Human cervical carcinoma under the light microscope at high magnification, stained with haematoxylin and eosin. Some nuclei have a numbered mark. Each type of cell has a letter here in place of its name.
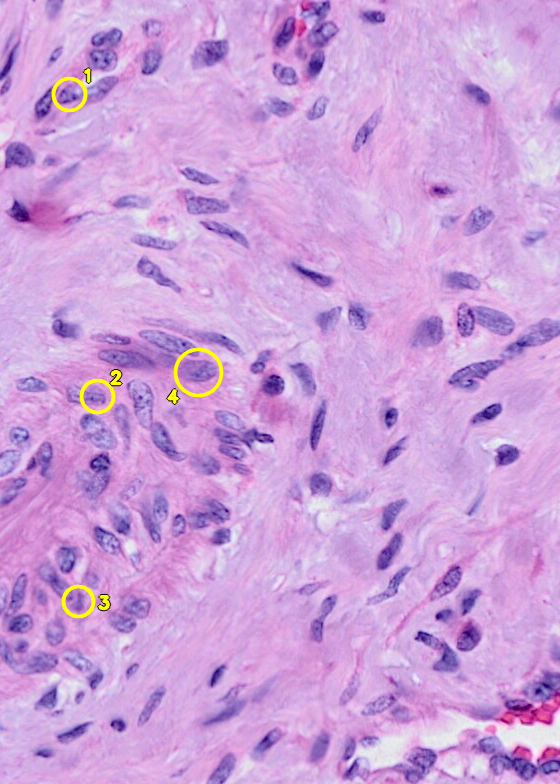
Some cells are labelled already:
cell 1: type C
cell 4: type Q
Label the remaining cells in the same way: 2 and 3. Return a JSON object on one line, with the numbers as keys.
{"2": "type Q", "3": "type Q"}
